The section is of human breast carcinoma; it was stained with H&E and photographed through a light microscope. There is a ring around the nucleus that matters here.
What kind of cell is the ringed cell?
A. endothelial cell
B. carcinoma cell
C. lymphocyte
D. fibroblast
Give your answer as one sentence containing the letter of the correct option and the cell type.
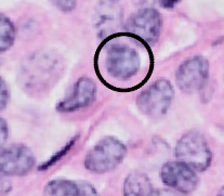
According to option B, the ringed cell is a carcinoma cell, and this is correct.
